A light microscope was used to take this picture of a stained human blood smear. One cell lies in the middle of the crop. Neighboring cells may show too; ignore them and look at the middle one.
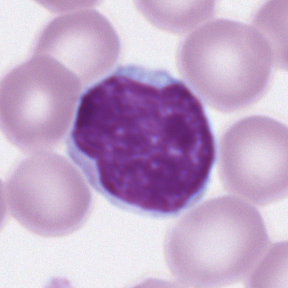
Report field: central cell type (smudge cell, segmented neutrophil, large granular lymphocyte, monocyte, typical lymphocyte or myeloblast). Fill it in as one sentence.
For this crop, the central cell is a typical lymphocyte.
